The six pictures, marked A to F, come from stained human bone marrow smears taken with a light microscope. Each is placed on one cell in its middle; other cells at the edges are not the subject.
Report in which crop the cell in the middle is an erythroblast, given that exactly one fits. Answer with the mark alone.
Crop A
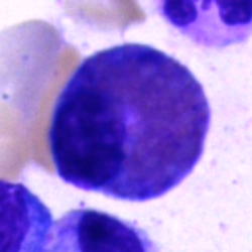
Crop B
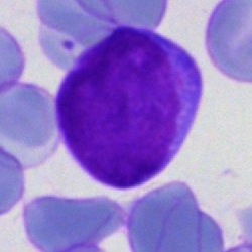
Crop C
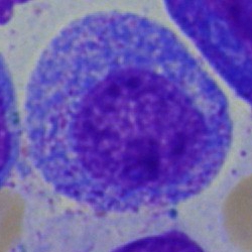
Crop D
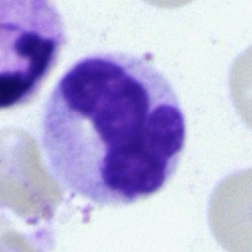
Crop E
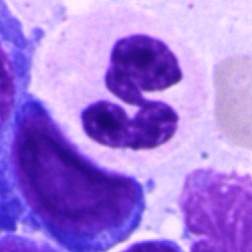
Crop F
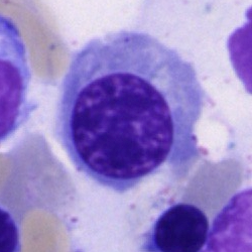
F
